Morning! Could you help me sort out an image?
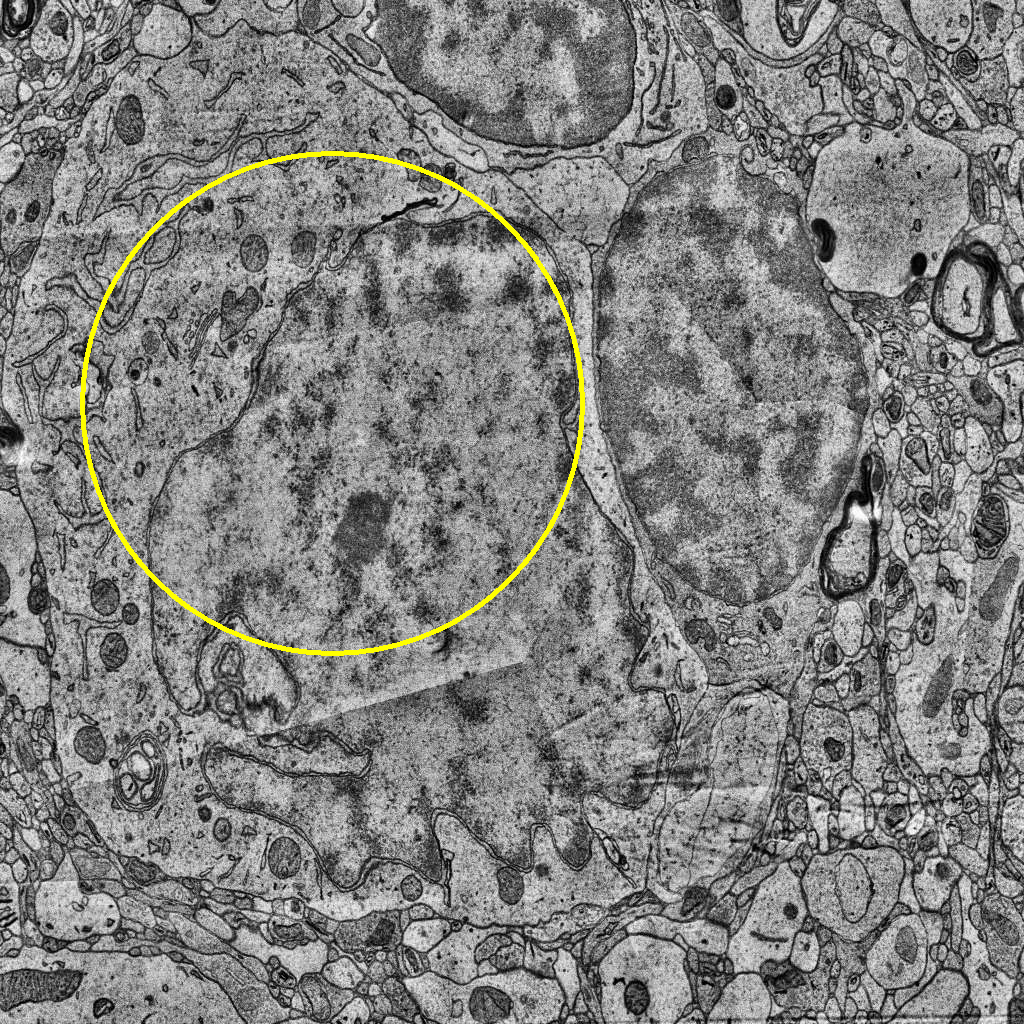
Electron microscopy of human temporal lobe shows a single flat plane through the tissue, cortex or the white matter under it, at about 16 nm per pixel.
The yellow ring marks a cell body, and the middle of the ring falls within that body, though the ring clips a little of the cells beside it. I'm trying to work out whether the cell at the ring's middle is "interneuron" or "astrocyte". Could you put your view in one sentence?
The cell body at the ring's middle is that of an interneuron.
